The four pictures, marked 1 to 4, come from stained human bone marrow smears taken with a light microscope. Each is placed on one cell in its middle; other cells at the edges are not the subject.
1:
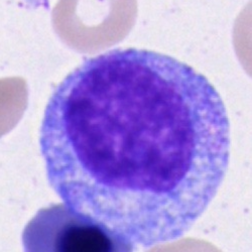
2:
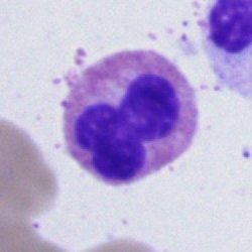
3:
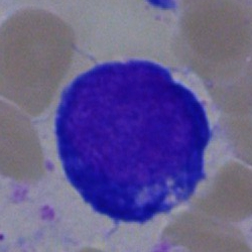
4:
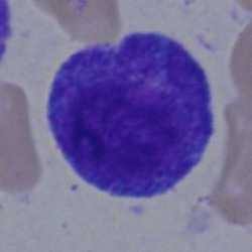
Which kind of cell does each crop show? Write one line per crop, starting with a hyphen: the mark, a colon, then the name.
- 1: promyelocyte
- 2: eosinophil
- 3: proerythroblast
- 4: promyelocyte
